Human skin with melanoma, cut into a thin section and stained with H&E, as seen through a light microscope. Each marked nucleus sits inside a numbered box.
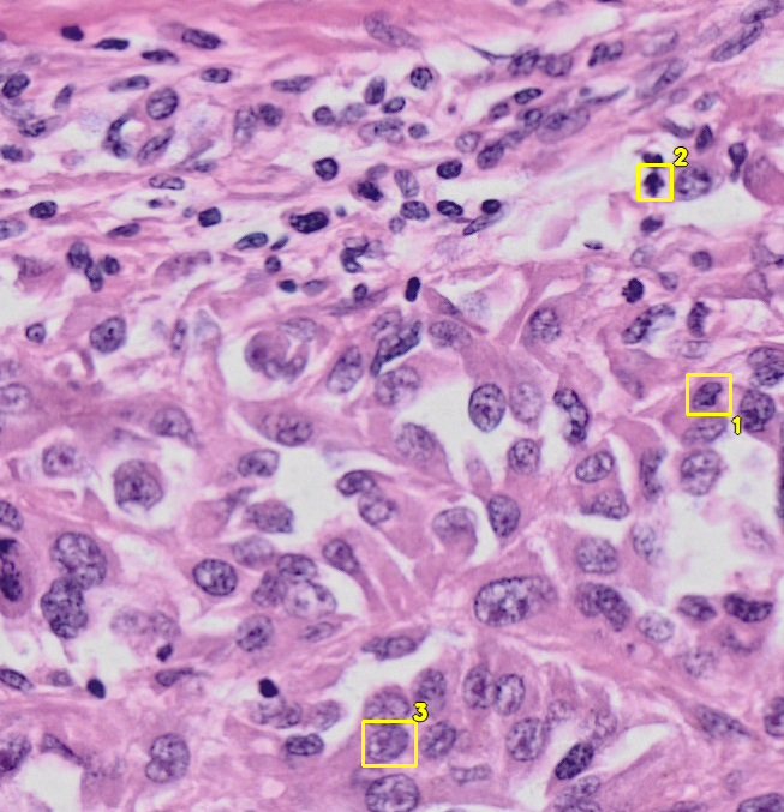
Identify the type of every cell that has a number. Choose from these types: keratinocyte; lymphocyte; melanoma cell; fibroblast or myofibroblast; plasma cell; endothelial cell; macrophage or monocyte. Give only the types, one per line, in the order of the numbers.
melanoma cell
lymphocyte
melanoma cell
